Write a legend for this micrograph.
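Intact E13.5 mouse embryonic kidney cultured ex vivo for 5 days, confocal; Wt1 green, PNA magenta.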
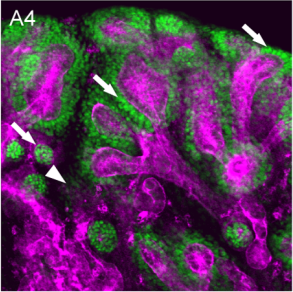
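Green-stained nuclei are densely packed in curved bands and crescents that hug magenta-outlined tubular structures near the outer surface. Other green nuclei gather into small round clusters deeper in the tissue. The magenta stain outlines epithelial tubes and branches with distinct walls and lumens.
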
